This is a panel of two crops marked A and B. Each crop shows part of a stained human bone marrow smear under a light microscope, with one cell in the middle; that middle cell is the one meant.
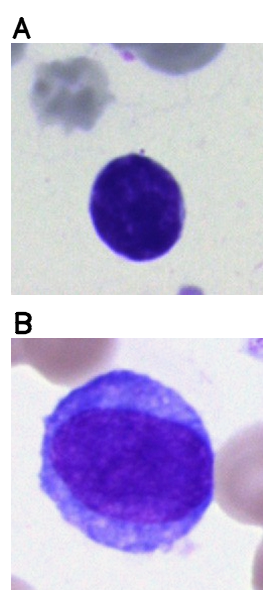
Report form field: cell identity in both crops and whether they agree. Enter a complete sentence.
No, crop A shows a lymphocyte, and it is crop B that shows a blast.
